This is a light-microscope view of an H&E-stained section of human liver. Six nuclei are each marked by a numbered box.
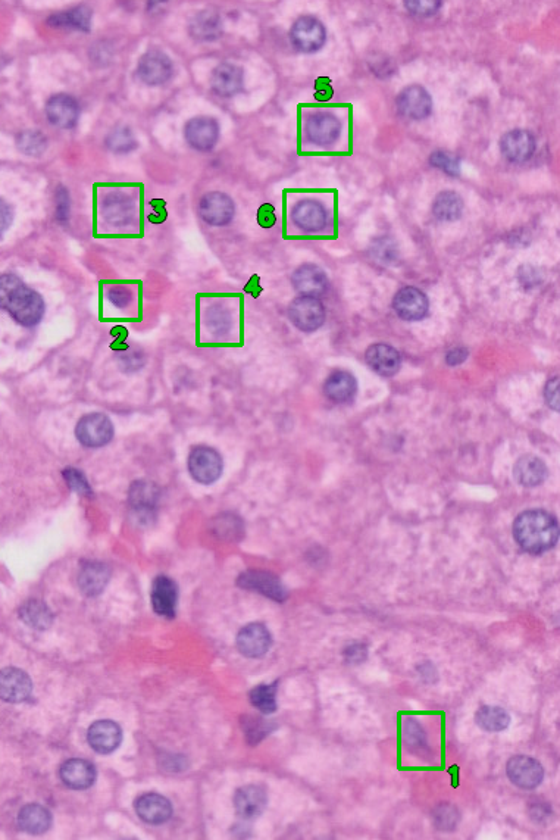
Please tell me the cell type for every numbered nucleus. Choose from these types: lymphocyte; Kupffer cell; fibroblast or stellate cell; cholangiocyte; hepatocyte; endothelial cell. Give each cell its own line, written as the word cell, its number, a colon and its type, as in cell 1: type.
cell 1: Kupffer cell
cell 2: lymphocyte
cell 3: hepatocyte
cell 4: hepatocyte
cell 5: hepatocyte
cell 6: hepatocyte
